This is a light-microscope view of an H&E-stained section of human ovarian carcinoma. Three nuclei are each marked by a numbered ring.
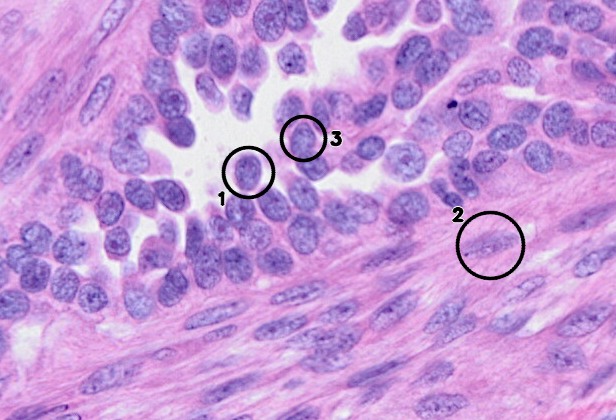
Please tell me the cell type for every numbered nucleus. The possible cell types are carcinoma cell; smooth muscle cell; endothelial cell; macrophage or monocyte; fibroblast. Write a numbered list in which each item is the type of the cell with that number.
1. carcinoma cell
2. fibroblast
3. carcinoma cell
